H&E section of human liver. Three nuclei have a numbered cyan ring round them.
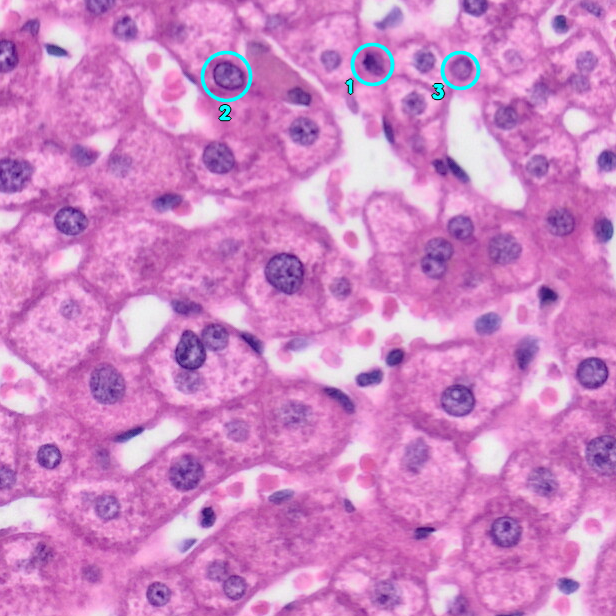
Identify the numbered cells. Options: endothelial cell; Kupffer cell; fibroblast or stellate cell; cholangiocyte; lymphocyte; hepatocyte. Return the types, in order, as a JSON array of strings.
["fibroblast or stellate cell", "hepatocyte", "hepatocyte"]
